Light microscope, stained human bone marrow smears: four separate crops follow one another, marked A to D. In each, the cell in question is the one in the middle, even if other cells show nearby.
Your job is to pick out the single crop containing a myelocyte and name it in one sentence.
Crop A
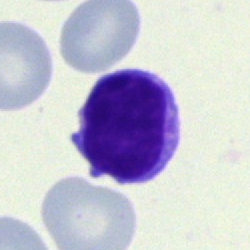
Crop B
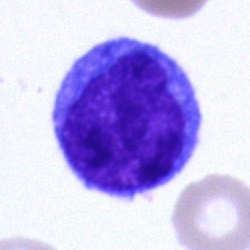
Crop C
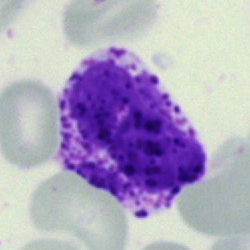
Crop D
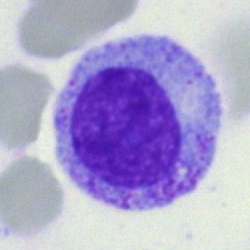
Crop D is the crop in which a myelocyte is shown.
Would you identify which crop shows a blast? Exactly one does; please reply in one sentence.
The crop carrying a blast at the center is crop B.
